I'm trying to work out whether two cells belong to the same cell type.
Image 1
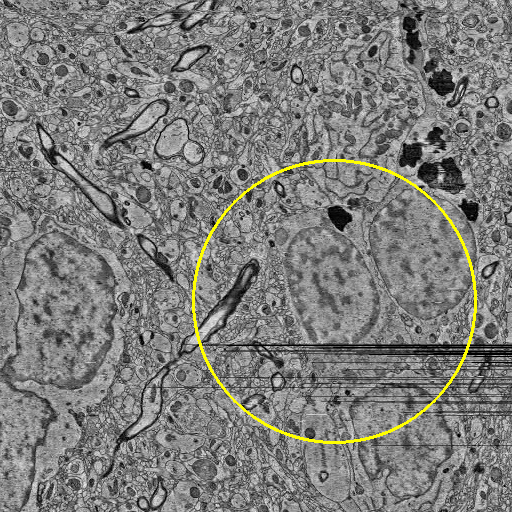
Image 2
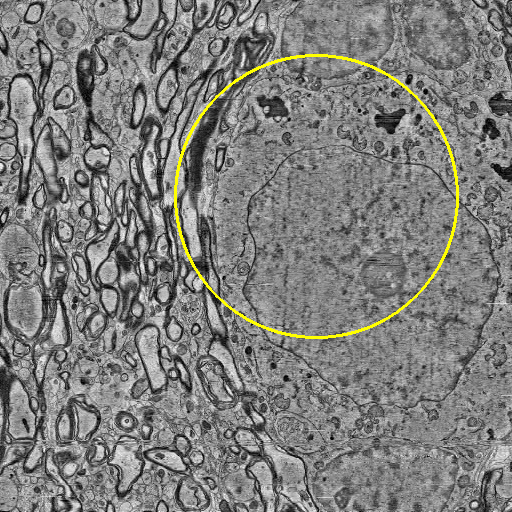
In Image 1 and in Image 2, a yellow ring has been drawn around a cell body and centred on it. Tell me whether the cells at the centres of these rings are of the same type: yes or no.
no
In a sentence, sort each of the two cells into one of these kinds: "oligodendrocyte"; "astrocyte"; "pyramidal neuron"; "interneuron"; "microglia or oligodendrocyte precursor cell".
The first of the two cells is an oligodendrocyte, and the second is a pyramidal neuron.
